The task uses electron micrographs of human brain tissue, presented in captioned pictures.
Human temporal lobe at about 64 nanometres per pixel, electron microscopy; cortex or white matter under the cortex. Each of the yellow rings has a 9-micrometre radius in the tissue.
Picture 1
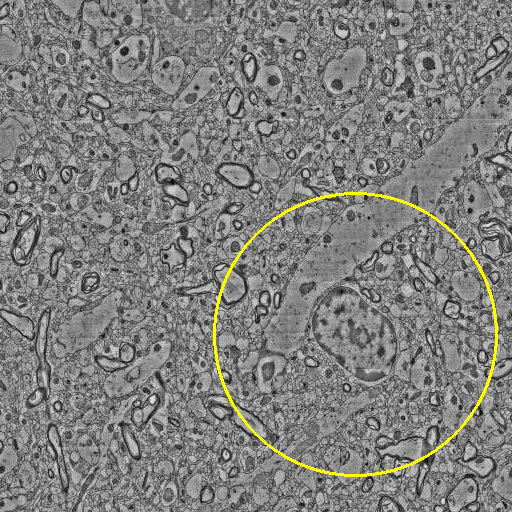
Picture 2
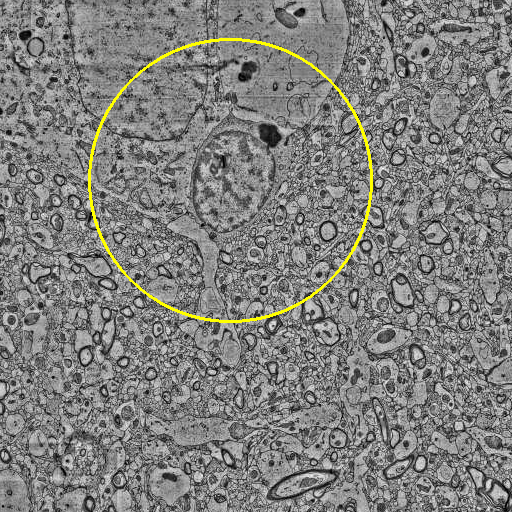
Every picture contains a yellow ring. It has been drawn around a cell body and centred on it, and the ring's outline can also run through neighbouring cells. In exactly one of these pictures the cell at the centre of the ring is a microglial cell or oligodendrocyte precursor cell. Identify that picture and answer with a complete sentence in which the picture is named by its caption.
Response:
The ring in Picture 1 is centred on that kind of cell.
